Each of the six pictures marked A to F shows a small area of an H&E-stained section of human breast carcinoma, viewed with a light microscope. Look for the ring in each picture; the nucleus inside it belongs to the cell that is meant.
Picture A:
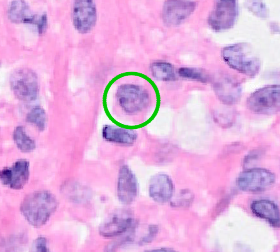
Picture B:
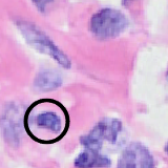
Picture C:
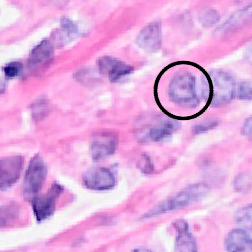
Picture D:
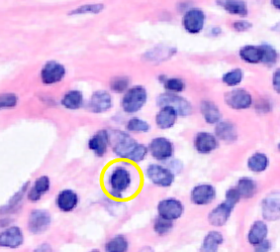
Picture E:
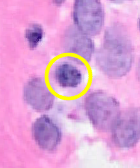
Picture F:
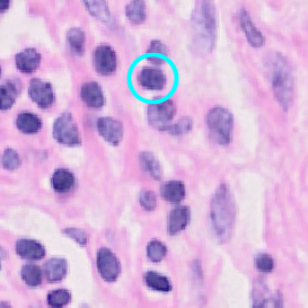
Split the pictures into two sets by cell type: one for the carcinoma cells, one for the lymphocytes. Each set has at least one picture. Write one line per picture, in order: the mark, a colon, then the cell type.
A: carcinoma cell
B: lymphocyte
C: carcinoma cell
D: lymphocyte
E: lymphocyte
F: lymphocyte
